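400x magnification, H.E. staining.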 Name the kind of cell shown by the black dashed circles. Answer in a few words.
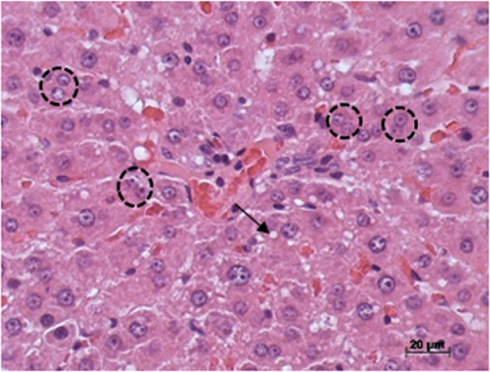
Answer: Binucleated cells.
